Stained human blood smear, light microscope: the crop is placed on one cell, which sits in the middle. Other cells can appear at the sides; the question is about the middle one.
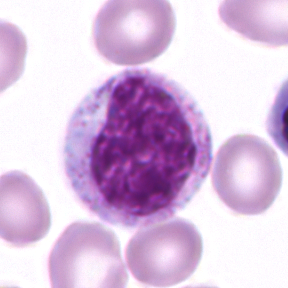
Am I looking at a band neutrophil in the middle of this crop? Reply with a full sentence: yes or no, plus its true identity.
No, the cell at the centre is identified as a metamyelocyte, not as a band neutrophil.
